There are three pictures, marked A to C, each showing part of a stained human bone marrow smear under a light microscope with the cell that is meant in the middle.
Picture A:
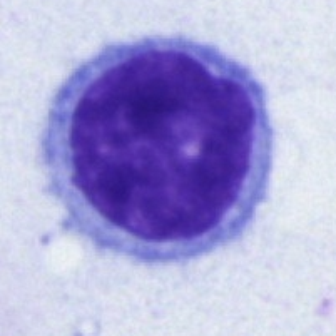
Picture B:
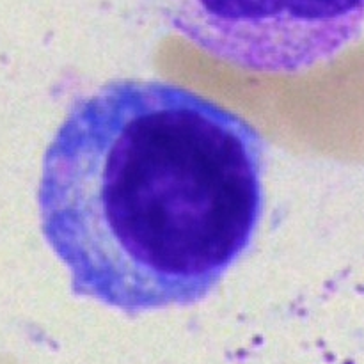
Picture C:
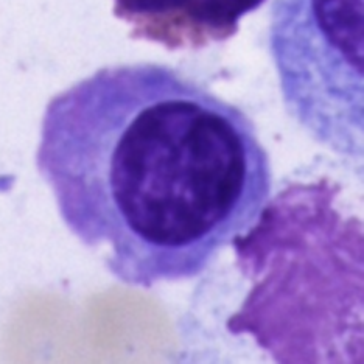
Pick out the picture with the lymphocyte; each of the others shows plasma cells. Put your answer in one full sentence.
Picture A shows the lymphocyte.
